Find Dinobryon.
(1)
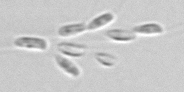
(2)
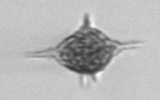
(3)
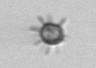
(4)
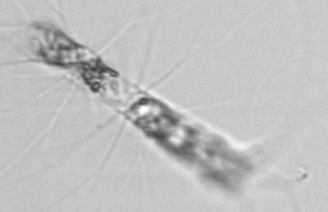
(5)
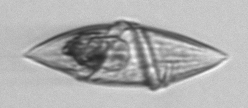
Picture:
1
